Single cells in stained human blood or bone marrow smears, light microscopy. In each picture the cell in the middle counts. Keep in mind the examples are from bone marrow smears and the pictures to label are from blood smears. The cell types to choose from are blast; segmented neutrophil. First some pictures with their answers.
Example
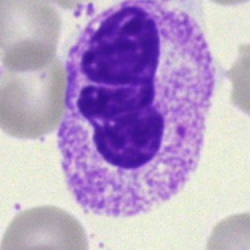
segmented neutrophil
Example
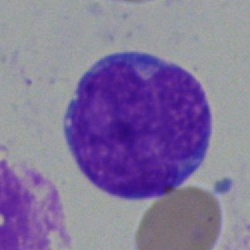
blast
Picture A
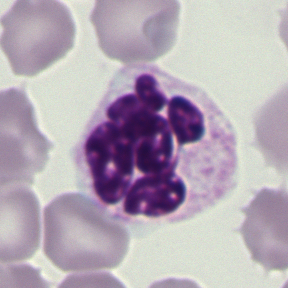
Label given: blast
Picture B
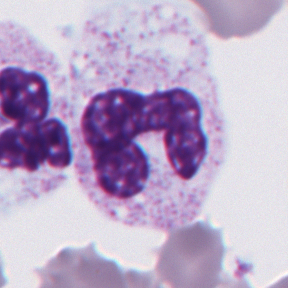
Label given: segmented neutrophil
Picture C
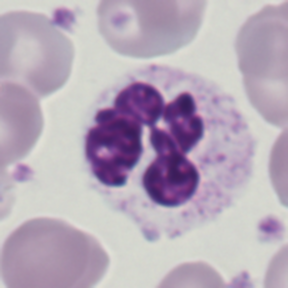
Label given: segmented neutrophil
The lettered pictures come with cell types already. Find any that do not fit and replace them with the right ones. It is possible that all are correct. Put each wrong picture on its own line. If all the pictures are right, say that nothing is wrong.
Wrong: A (blast); correct: segmented neutrophil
